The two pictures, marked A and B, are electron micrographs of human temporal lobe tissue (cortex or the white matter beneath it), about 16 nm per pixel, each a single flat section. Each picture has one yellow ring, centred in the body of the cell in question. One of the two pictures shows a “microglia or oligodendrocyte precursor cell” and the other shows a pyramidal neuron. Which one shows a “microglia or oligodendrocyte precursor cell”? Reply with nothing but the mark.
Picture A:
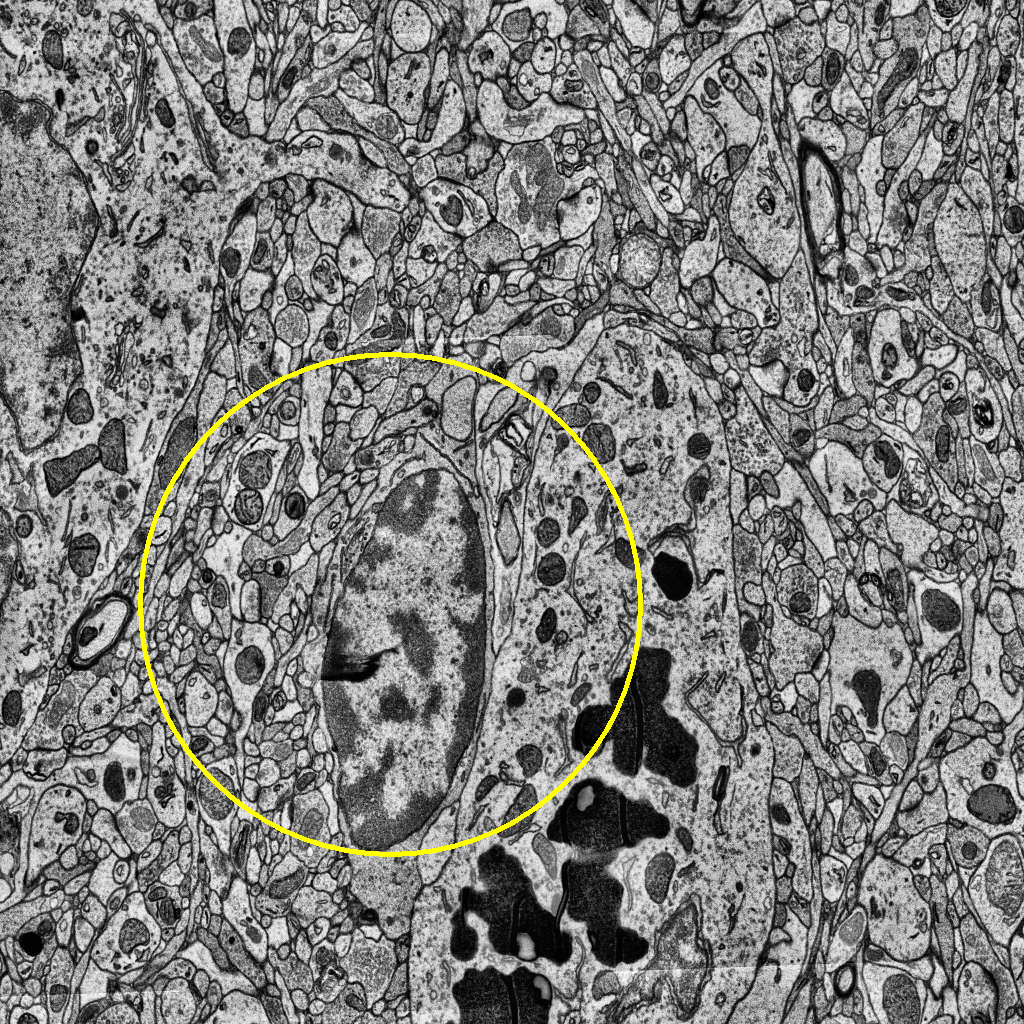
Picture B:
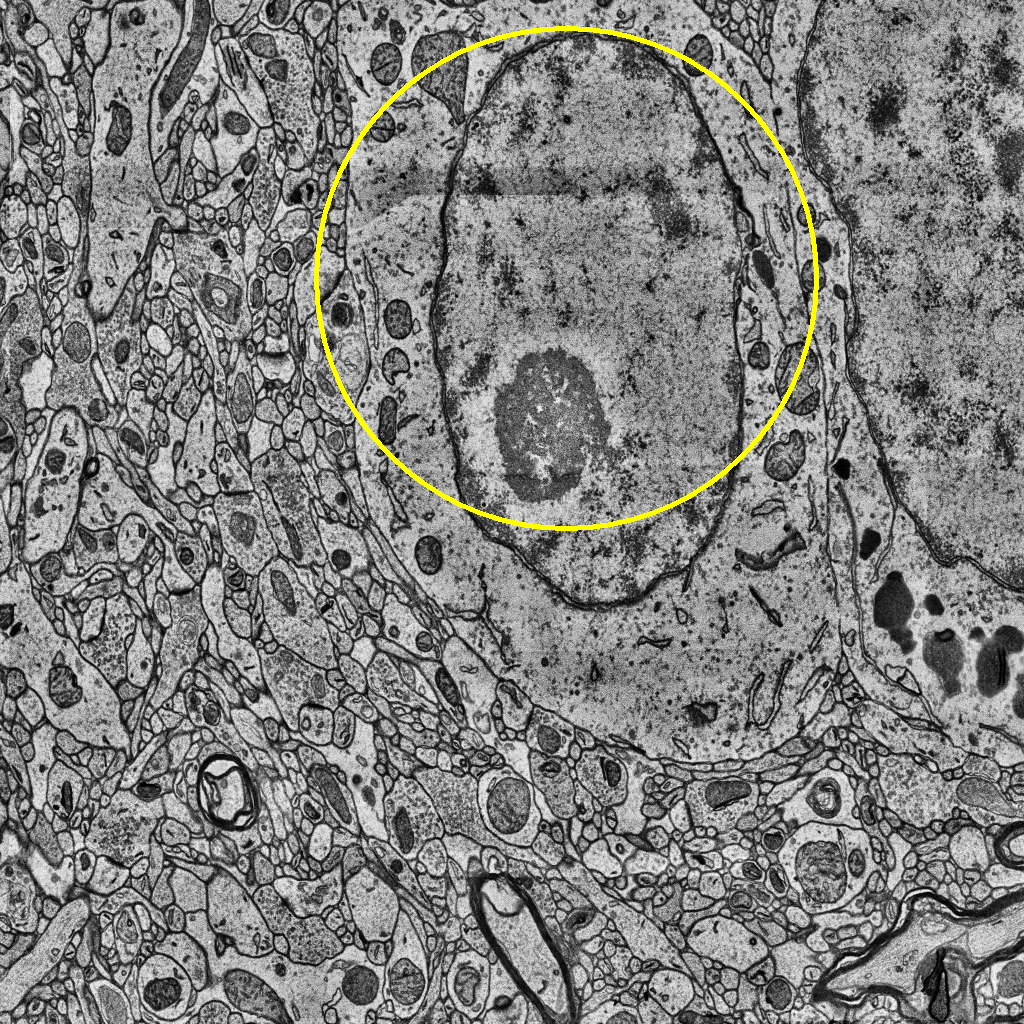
A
